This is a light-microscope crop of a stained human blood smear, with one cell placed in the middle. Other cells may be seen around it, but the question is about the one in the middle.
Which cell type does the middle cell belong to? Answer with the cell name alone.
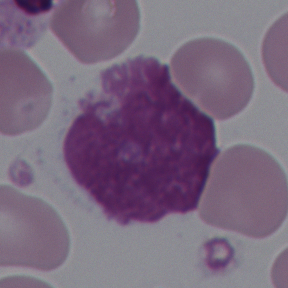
smudge cell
